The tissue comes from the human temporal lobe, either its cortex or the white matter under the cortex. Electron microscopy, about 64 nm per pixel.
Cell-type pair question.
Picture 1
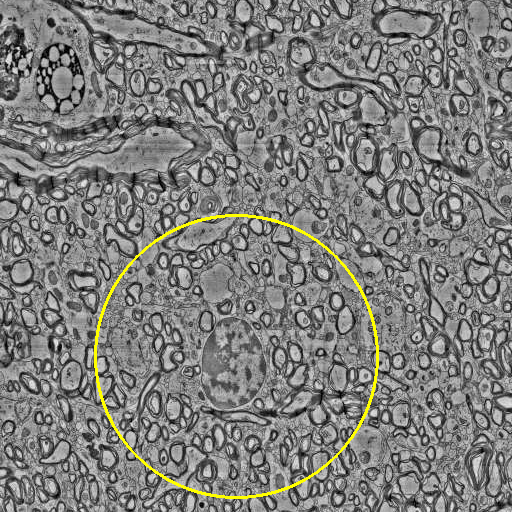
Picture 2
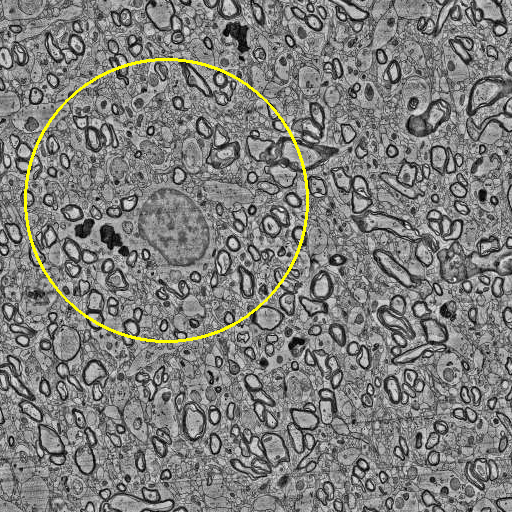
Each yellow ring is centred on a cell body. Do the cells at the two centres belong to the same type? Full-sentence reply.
No, the two cells belong to two types.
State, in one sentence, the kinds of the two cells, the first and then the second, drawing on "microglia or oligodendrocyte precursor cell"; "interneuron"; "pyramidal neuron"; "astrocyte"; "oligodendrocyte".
The ring in the second picture is centred on an oligodendrocyte, the ring in the first on a microglial cell or oligodendrocyte precursor cell.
